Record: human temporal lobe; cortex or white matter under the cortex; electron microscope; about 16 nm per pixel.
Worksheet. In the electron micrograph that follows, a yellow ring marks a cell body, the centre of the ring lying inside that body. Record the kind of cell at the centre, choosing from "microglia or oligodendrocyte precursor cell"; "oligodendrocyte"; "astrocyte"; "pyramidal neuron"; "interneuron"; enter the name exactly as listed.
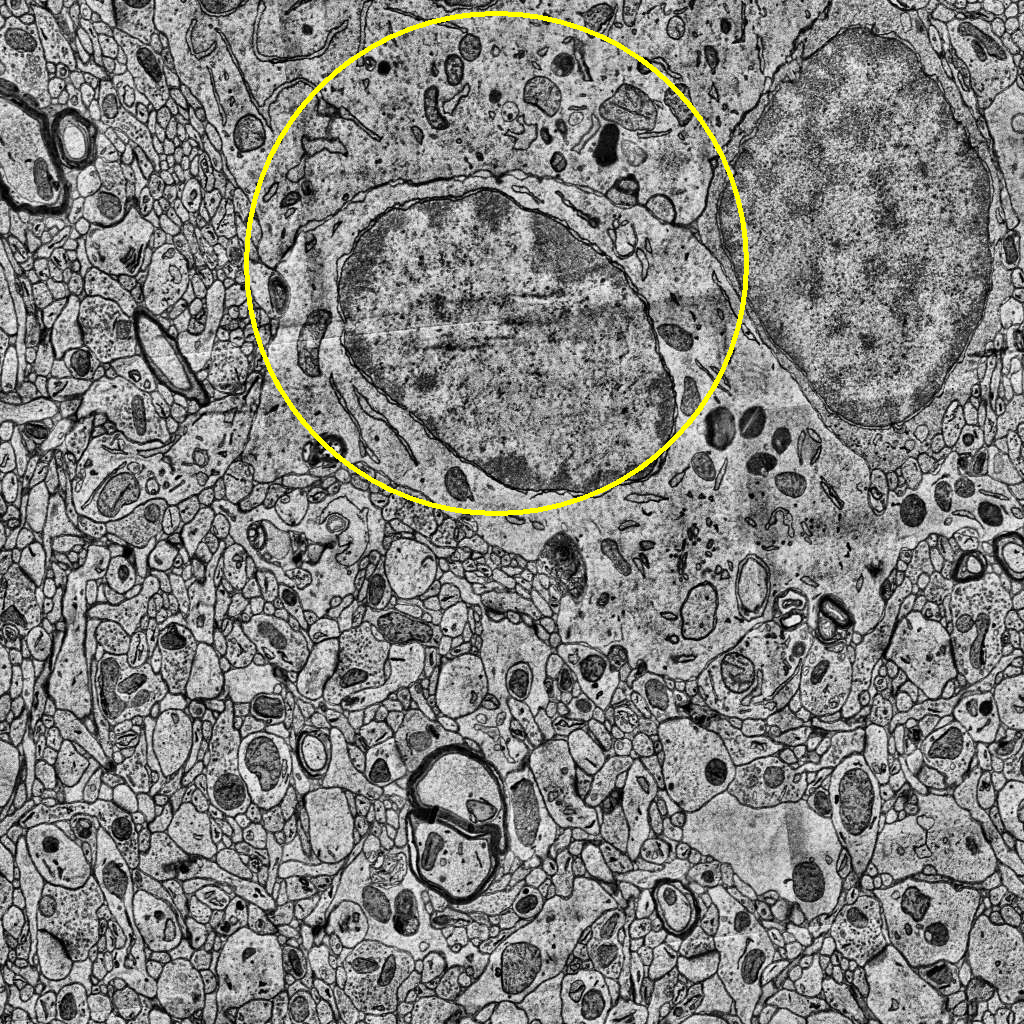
microglia or oligodendrocyte precursor cell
